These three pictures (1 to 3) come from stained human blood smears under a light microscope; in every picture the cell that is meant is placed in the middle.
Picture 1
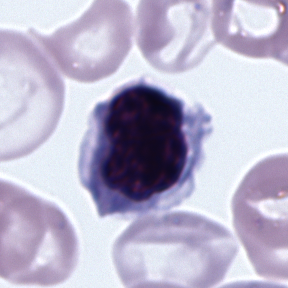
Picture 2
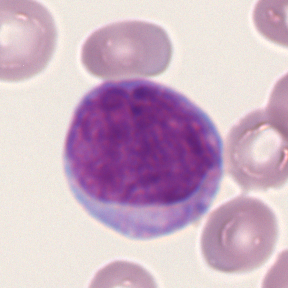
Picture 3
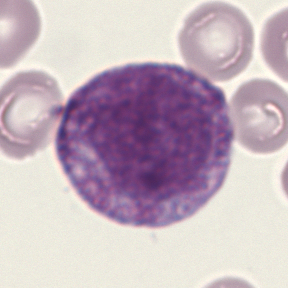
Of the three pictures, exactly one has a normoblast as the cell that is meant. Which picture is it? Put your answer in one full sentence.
Picture 1 shows the normoblast.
